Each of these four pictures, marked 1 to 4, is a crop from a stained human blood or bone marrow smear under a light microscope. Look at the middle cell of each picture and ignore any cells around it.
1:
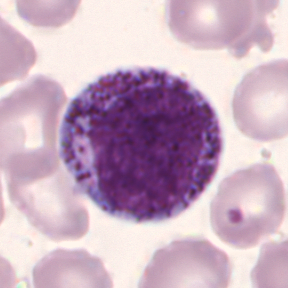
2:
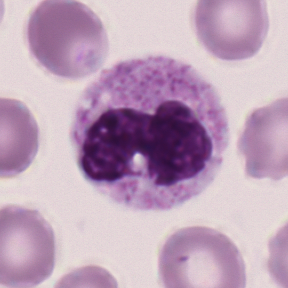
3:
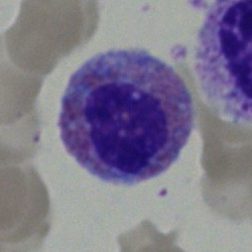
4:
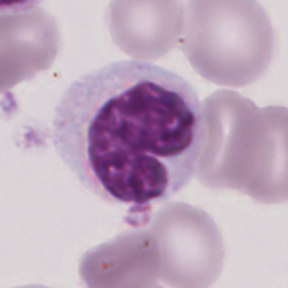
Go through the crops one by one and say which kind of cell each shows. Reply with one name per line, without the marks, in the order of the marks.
promyelocyte
band neutrophil
eosinophil
band neutrophil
